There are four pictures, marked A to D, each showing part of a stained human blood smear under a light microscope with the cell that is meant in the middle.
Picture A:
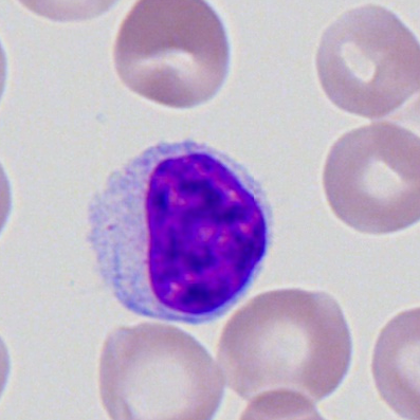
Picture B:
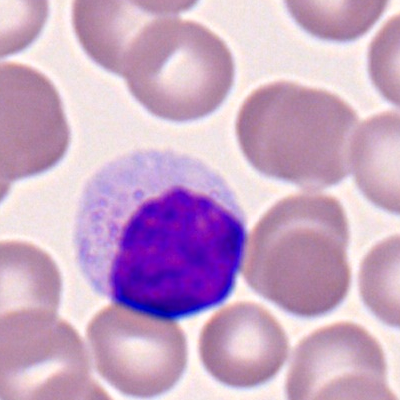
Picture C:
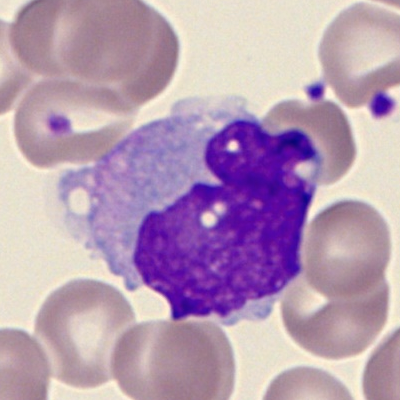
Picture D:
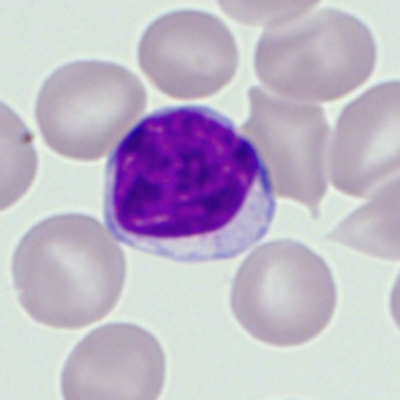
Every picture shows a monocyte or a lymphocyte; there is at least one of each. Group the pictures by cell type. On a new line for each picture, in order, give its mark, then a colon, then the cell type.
A: lymphocyte
B: lymphocyte
C: monocyte
D: lymphocyte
